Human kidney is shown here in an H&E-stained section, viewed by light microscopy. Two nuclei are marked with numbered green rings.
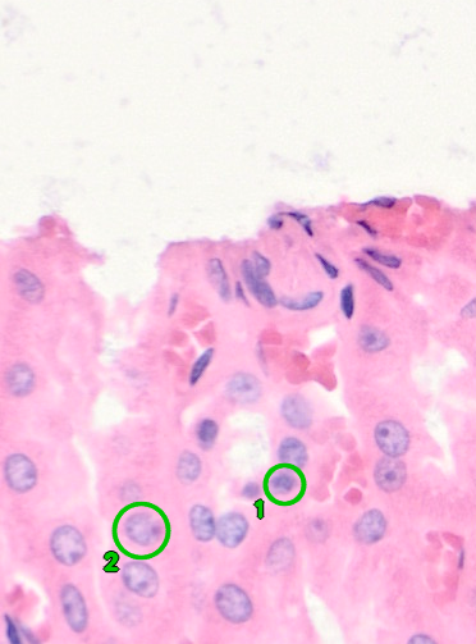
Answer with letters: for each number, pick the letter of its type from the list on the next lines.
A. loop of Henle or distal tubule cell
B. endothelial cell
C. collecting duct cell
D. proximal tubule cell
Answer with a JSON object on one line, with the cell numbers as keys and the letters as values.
{"1": "C", "2": "D"}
